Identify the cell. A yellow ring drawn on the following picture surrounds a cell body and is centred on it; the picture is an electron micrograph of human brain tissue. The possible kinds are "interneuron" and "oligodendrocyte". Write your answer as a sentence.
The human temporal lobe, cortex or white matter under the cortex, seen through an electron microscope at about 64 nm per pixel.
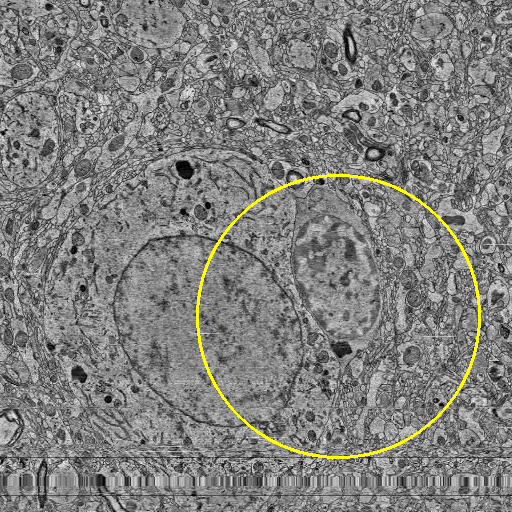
The cell identified by the ring is an oligodendrocyte.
